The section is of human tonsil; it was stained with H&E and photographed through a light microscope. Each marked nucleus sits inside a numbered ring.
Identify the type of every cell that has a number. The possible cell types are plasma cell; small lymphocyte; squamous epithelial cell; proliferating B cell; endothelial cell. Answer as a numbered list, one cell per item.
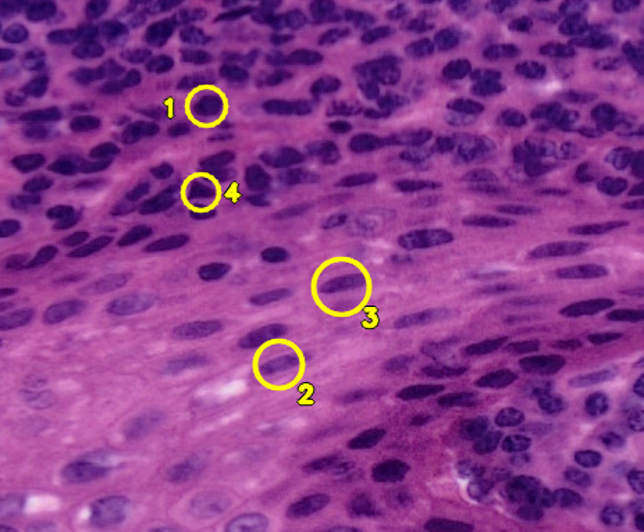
1. plasma cell
2. squamous epithelial cell
3. squamous epithelial cell
4. squamous epithelial cell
